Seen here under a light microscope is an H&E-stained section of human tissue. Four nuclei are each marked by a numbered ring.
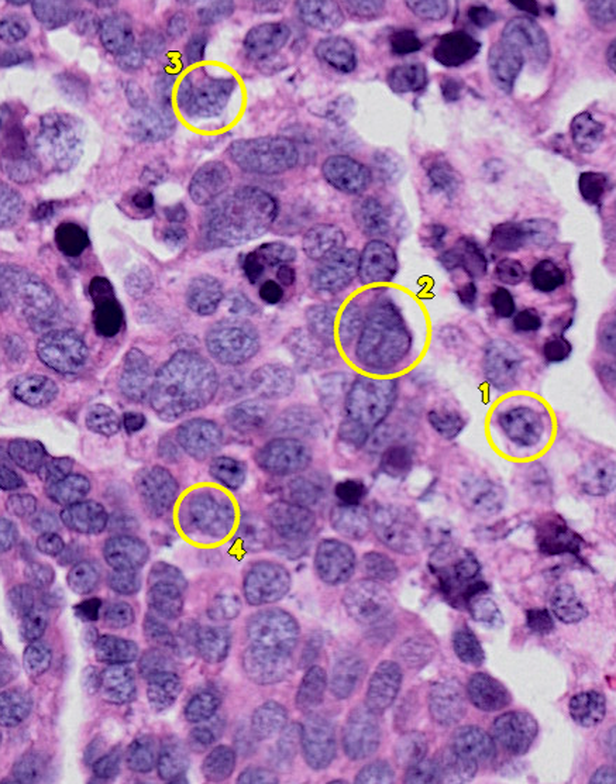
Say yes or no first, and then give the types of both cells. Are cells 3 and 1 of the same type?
No, cell 3 is a carcinoma cell and cell 1 is a macrophage or monocyte.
